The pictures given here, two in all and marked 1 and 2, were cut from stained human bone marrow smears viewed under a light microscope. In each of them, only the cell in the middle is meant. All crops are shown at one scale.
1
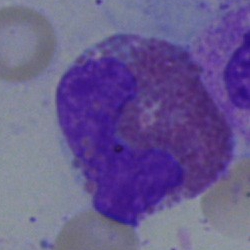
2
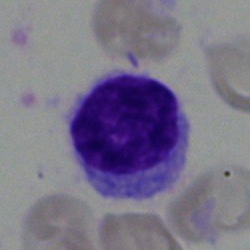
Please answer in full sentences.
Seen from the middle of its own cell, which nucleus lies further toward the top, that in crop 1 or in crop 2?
Seen within its cell, the nucleus in crop 2 lies further toward the top.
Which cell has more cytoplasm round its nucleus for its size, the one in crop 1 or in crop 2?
It is the cell in crop 1 that is filled less by its nucleus.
